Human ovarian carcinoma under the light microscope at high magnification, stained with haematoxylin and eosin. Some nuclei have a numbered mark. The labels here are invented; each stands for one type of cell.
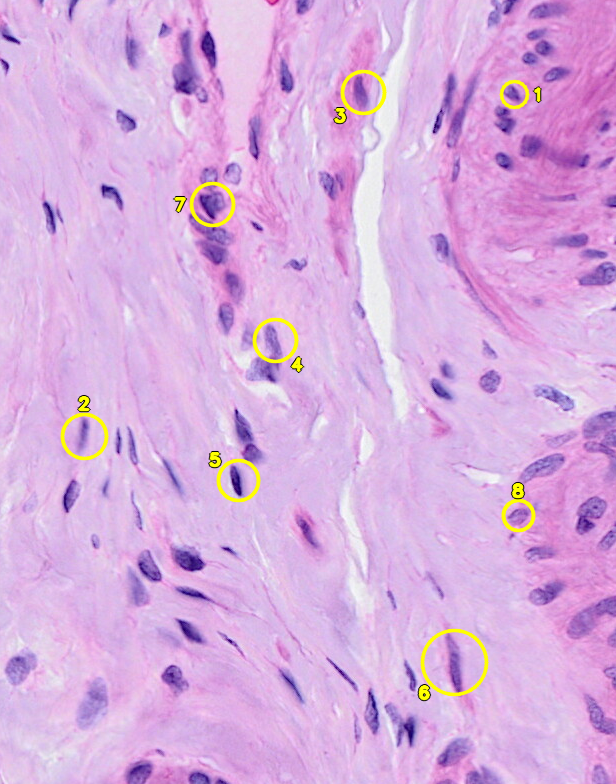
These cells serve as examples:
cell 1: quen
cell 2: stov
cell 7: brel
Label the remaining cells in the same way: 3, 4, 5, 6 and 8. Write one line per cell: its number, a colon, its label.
3: quen
4: stov
5: stov
6: quen
8: quen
